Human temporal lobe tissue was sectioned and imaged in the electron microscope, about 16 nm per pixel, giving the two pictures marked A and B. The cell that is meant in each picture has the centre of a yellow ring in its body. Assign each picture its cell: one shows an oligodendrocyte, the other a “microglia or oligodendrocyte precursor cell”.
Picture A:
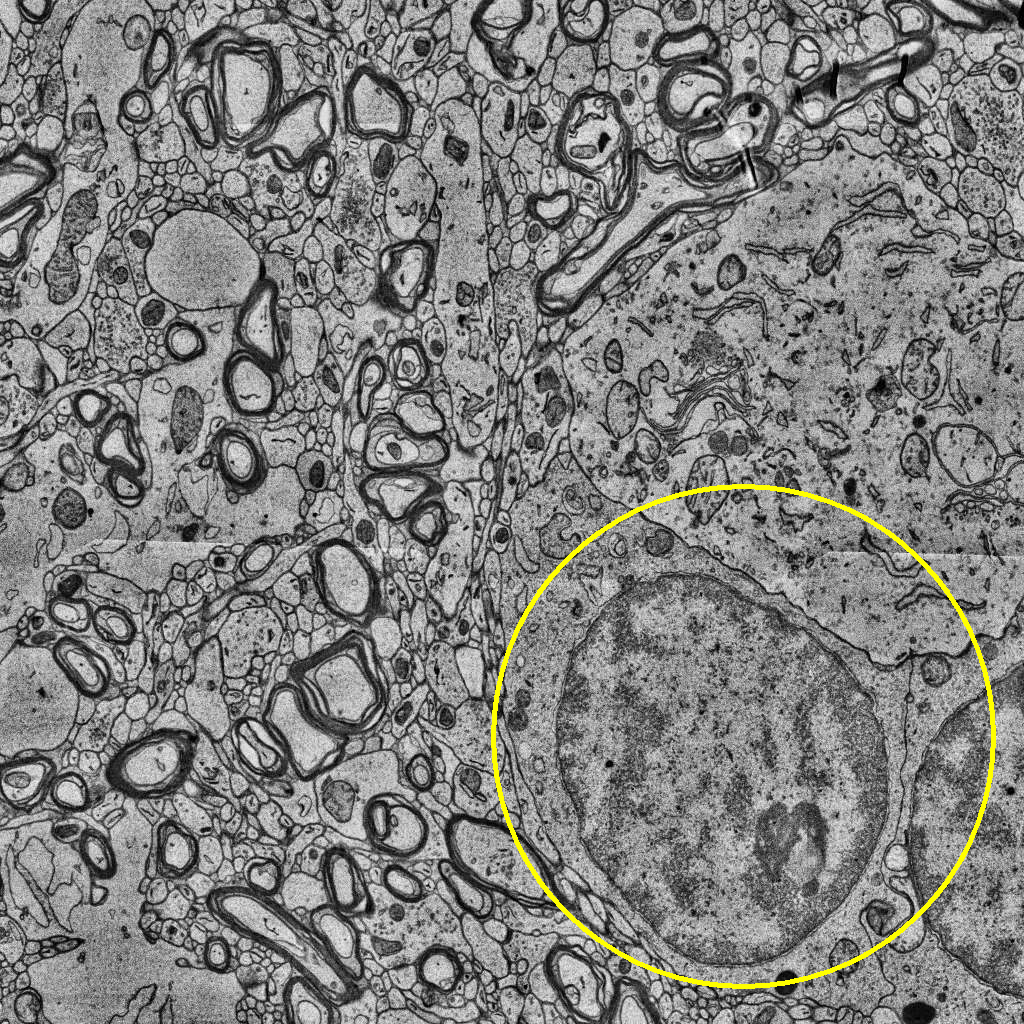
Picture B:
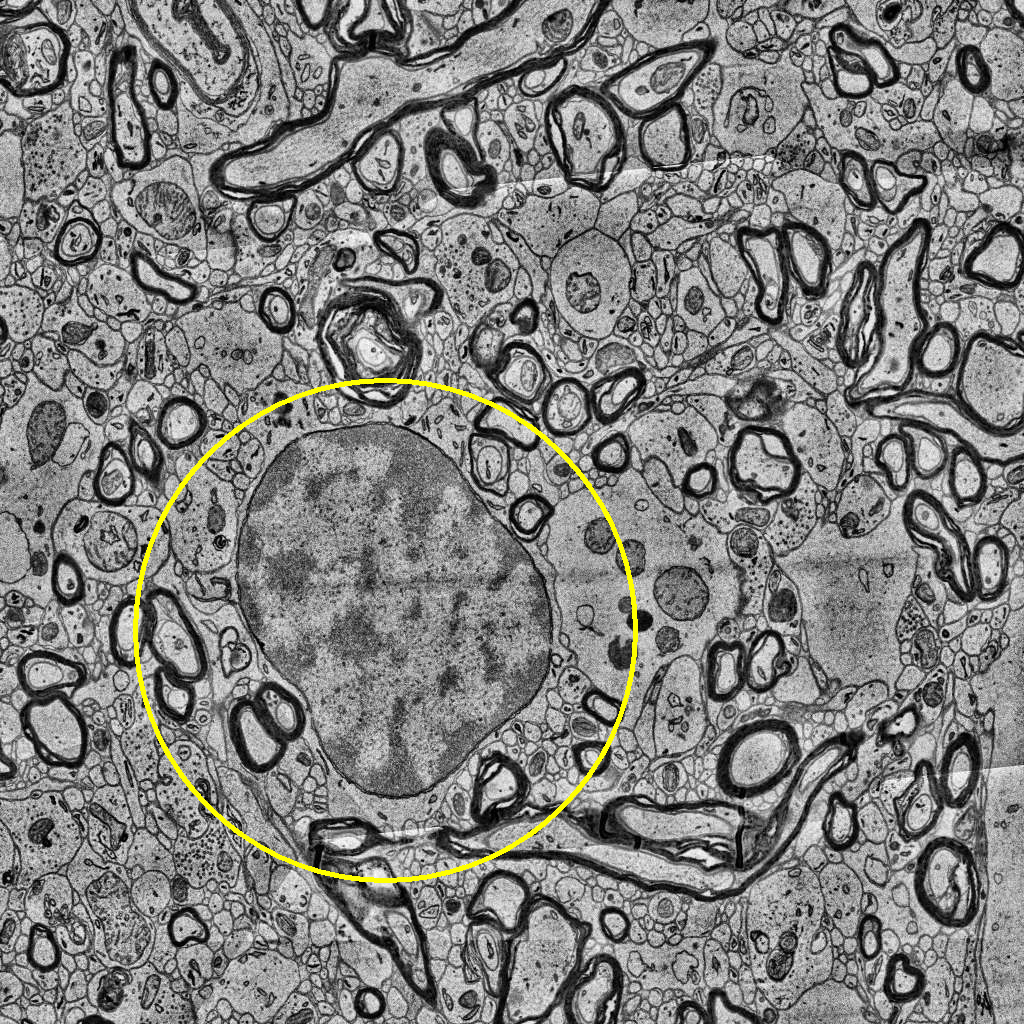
It is picture A that shows an oligodendrocyte, and picture B that shows a “microglia or oligodendrocyte precursor cell”.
